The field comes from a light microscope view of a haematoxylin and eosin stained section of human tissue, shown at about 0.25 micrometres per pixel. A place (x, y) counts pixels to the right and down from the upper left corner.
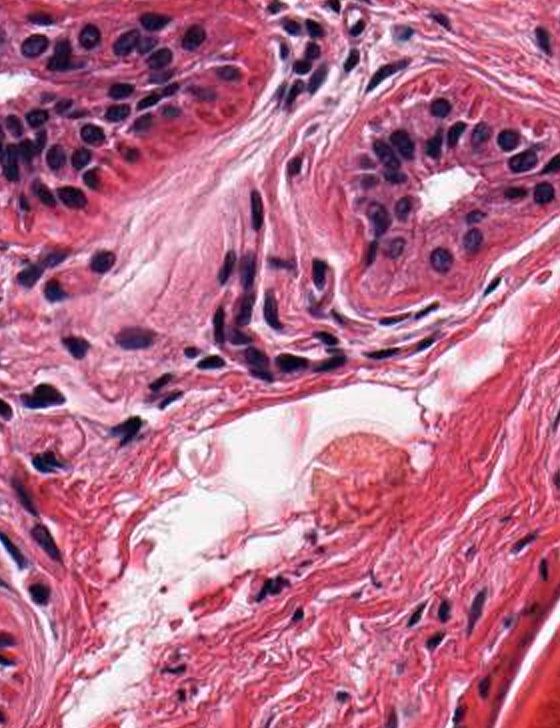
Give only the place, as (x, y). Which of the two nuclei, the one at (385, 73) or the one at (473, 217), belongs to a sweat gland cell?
(473, 217)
